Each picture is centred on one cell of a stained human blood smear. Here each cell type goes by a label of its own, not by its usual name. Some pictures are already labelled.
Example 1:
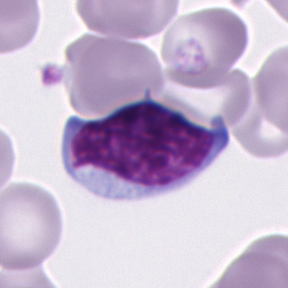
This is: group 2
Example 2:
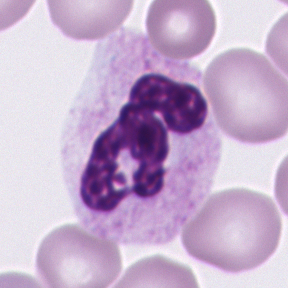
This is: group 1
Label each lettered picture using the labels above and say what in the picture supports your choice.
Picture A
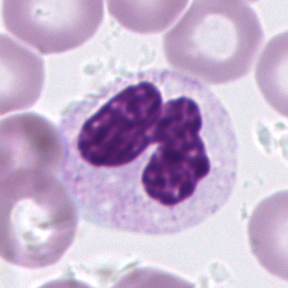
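group 1: The nucleus is divided into two lobes.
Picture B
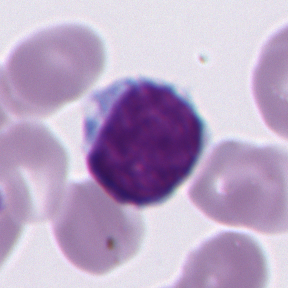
group 2: The cytoplasm is a scanty pale blue rim.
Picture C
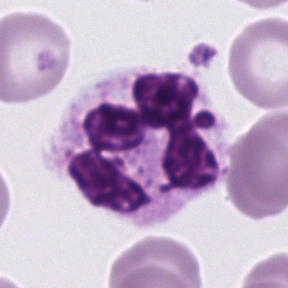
group 1: The nucleus is divided into four large lobes.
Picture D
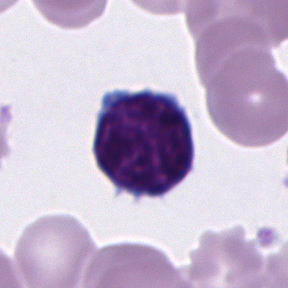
group 2: The cytoplasm shows only as a thin blue fringe at the edge of the cell.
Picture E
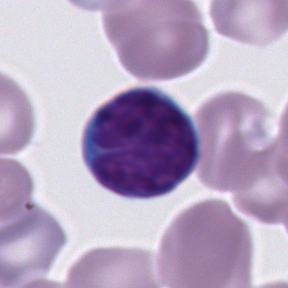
group 2: The cytoplasm forms only a thin rim around the nucleus.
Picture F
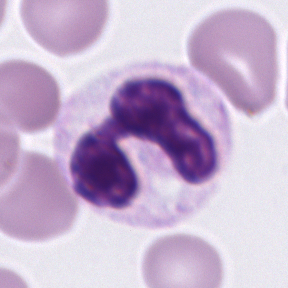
group 1: The nucleus is curved into a horseshoe whose opening faces downward.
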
